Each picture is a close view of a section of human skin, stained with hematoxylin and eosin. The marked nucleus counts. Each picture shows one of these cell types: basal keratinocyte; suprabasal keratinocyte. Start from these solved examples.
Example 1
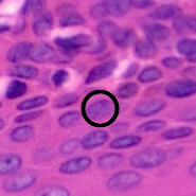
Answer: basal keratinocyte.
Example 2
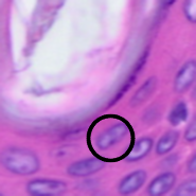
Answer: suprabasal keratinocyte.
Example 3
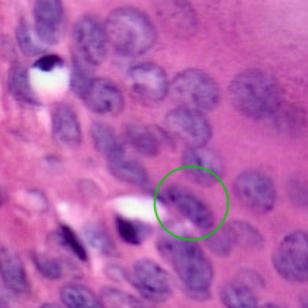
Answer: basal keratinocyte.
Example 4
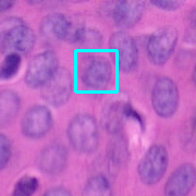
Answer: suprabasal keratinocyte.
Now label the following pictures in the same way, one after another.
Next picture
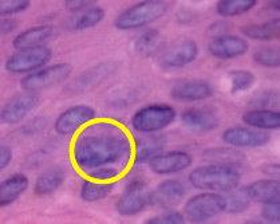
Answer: basal keratinocyte.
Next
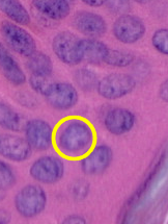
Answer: suprabasal keratinocyte.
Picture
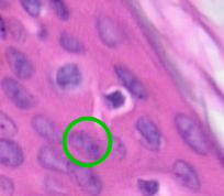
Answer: suprabasal keratinocyte.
